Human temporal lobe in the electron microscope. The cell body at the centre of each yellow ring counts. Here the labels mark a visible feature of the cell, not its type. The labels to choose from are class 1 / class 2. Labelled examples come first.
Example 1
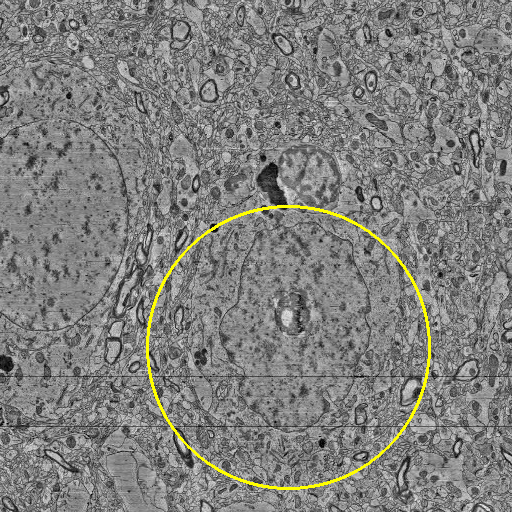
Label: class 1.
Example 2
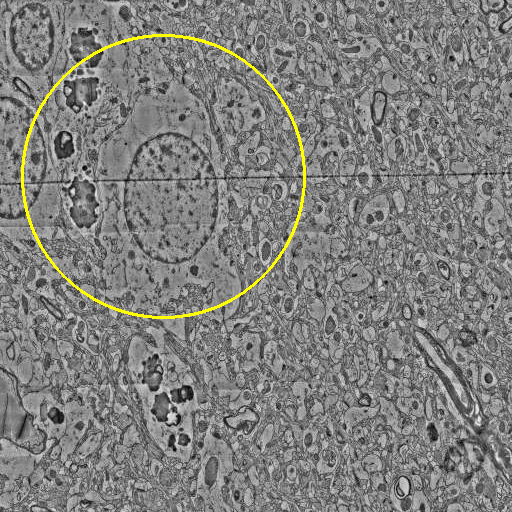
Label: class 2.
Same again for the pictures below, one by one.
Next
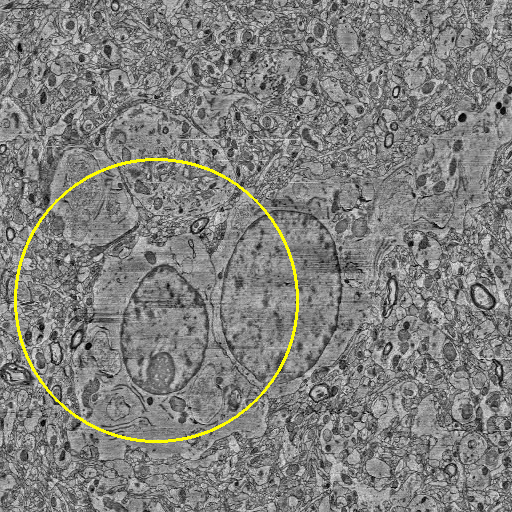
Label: class 1.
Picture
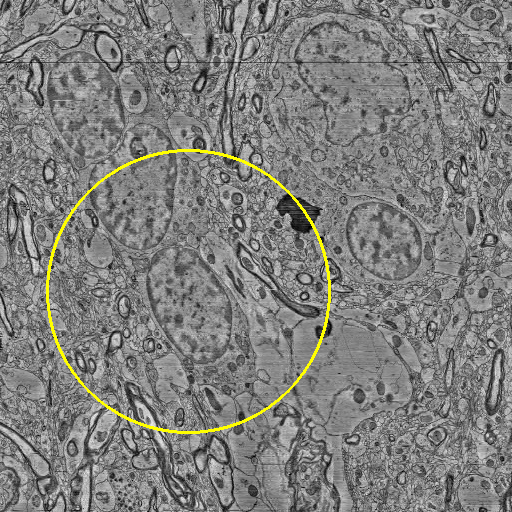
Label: class 2.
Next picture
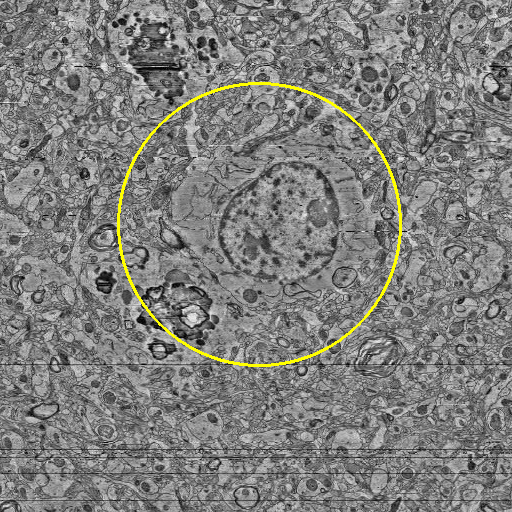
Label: class 1.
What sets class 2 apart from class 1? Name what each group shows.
In class 2: no nucleolus seen. In class 1: nucleolus seen.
